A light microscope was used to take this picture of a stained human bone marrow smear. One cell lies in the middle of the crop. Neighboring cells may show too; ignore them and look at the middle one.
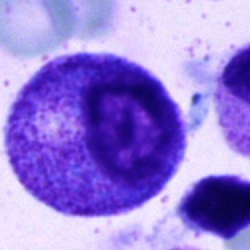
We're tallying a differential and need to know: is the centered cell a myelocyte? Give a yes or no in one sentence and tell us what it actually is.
Yes, this crop has a myelocyte at its centre.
